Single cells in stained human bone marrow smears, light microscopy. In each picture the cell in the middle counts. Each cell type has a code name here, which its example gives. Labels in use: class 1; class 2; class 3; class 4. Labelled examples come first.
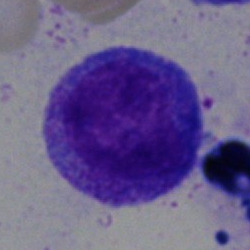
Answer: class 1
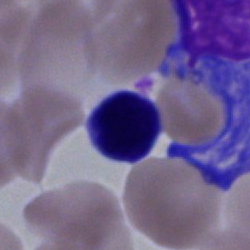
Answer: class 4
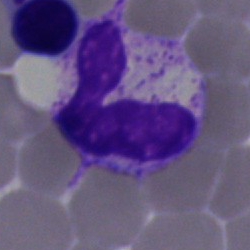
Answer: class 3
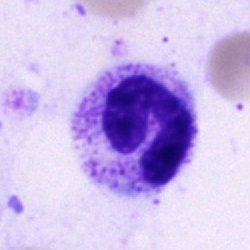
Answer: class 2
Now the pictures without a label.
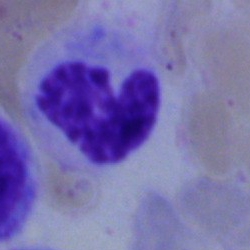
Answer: class 2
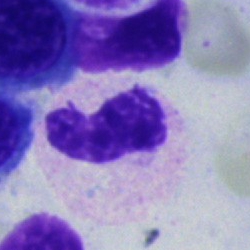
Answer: class 2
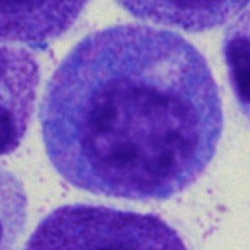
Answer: class 1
